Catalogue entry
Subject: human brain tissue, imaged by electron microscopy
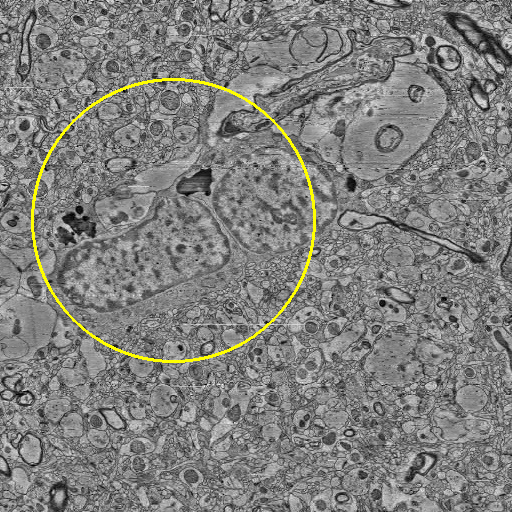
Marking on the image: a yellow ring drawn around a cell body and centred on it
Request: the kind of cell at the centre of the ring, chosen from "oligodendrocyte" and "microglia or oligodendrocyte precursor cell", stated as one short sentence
The ring has an oligodendrocyte at its centre.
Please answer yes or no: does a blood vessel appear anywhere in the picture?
Yes.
